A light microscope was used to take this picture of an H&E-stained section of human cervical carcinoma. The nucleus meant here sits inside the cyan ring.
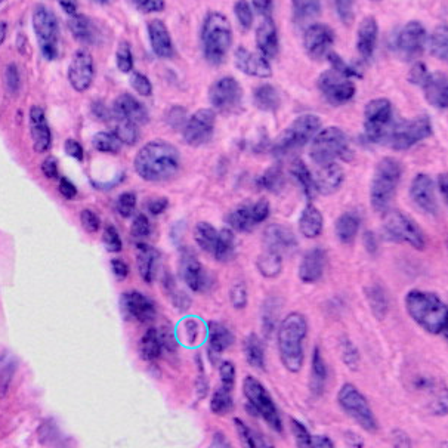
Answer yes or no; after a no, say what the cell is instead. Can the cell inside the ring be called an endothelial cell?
No, it is a squamous carcinoma cell.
